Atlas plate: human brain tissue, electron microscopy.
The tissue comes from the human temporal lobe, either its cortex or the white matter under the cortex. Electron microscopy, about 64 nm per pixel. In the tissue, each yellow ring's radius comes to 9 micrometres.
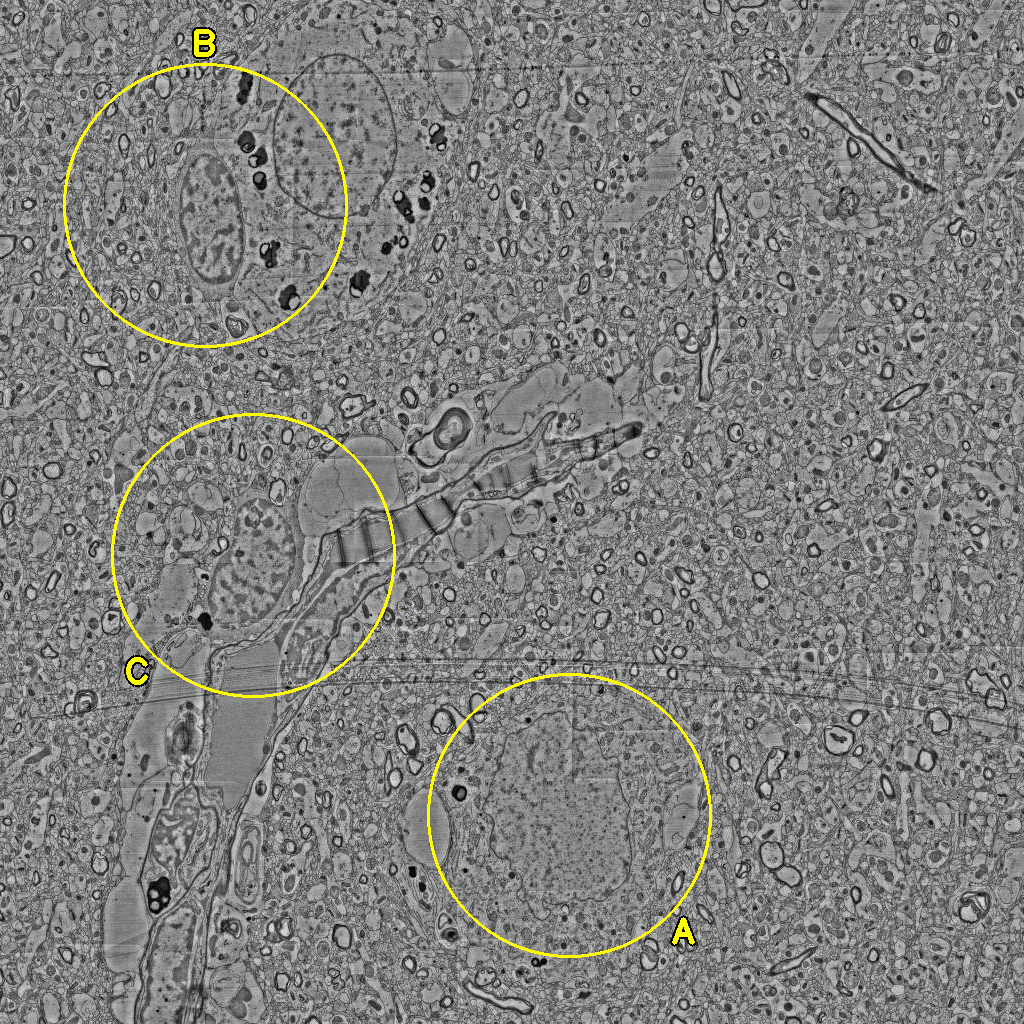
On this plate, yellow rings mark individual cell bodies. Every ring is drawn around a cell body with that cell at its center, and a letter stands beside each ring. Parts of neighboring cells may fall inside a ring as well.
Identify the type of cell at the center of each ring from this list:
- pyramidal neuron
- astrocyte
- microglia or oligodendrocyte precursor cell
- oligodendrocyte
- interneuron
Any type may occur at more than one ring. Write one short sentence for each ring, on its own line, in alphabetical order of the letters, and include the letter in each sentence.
At the center of ring A lies a pyramidal neuron.
At the center of ring B lies an oligodendrocyte.
At the center of ring C lies an oligodendrocyte.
